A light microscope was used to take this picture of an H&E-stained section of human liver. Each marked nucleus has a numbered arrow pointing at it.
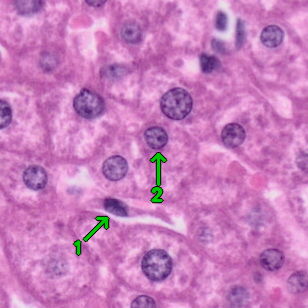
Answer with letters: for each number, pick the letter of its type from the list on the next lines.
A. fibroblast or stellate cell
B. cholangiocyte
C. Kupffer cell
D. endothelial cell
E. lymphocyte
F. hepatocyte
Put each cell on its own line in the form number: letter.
1: C
2: F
